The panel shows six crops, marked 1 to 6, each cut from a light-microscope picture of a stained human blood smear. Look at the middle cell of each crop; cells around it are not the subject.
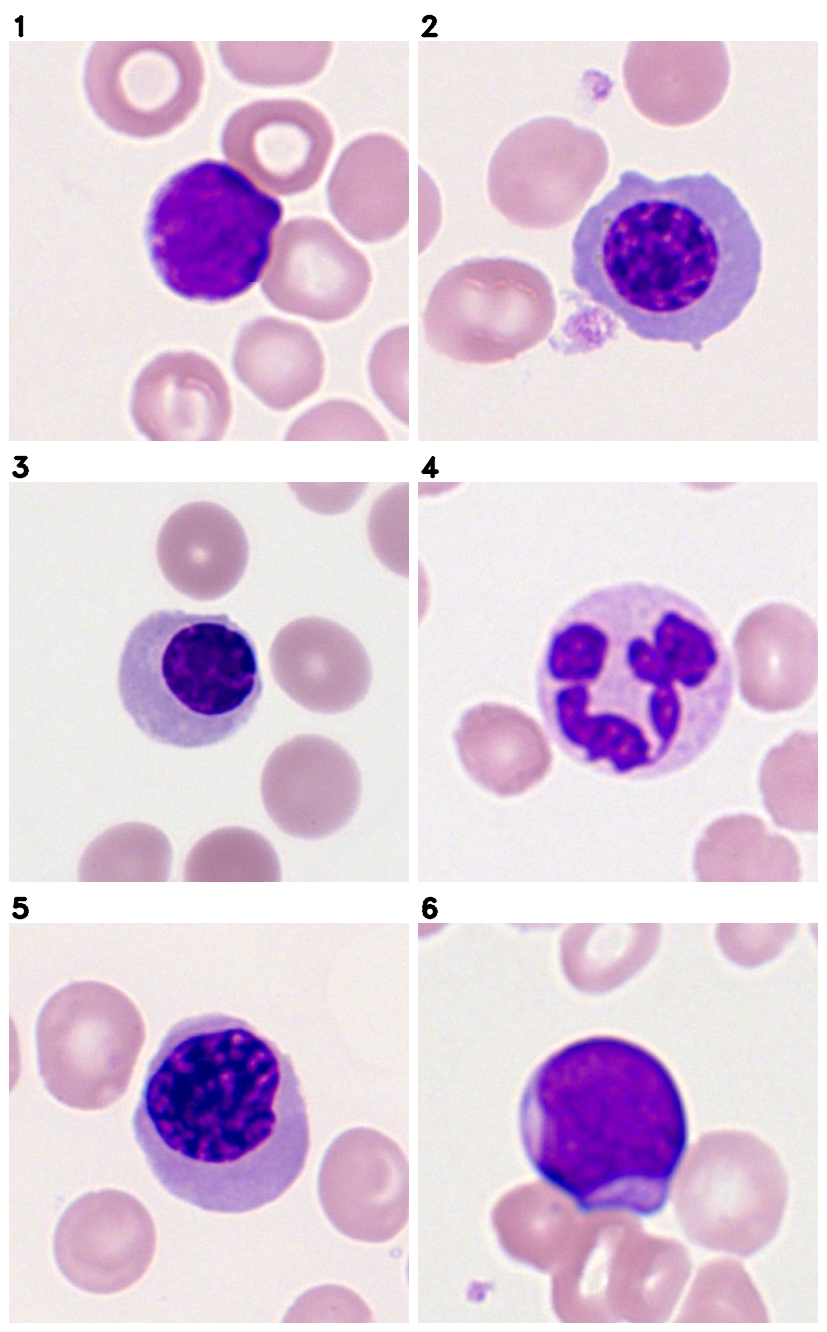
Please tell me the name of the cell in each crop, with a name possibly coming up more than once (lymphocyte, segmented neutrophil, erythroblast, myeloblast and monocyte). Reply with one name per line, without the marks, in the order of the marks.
myeloblast
erythroblast
erythroblast
segmented neutrophil
erythroblast
myeloblast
